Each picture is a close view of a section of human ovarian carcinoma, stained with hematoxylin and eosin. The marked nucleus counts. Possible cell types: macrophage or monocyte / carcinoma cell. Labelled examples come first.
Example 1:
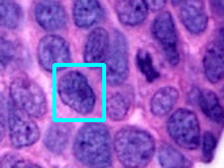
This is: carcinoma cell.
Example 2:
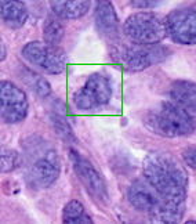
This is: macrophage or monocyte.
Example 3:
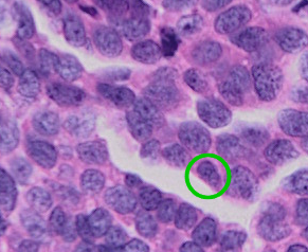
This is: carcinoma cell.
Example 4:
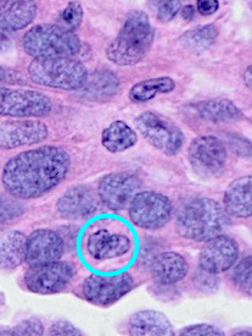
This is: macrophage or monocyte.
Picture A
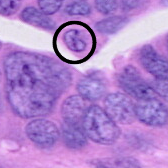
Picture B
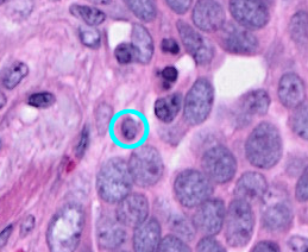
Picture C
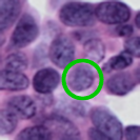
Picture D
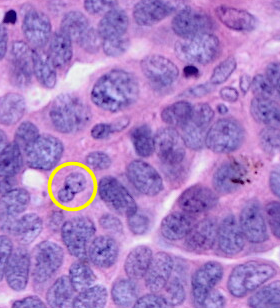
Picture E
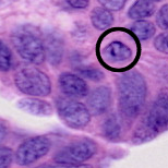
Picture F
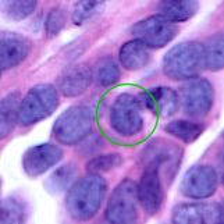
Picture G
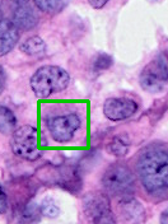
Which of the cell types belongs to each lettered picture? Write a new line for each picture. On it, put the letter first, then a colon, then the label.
A: macrophage or monocyte.
B: macrophage or monocyte.
C: carcinoma cell.
D: macrophage or monocyte.
E: macrophage or monocyte.
F: carcinoma cell.
G: macrophage or monocyte.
